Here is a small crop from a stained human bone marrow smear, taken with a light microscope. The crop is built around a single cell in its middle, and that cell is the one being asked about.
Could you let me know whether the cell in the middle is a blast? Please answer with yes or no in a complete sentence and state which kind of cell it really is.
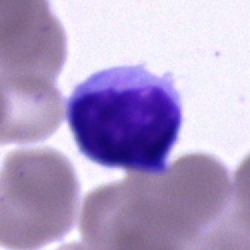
No, a blast is not what the central cell is; it is a lymphocyte.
